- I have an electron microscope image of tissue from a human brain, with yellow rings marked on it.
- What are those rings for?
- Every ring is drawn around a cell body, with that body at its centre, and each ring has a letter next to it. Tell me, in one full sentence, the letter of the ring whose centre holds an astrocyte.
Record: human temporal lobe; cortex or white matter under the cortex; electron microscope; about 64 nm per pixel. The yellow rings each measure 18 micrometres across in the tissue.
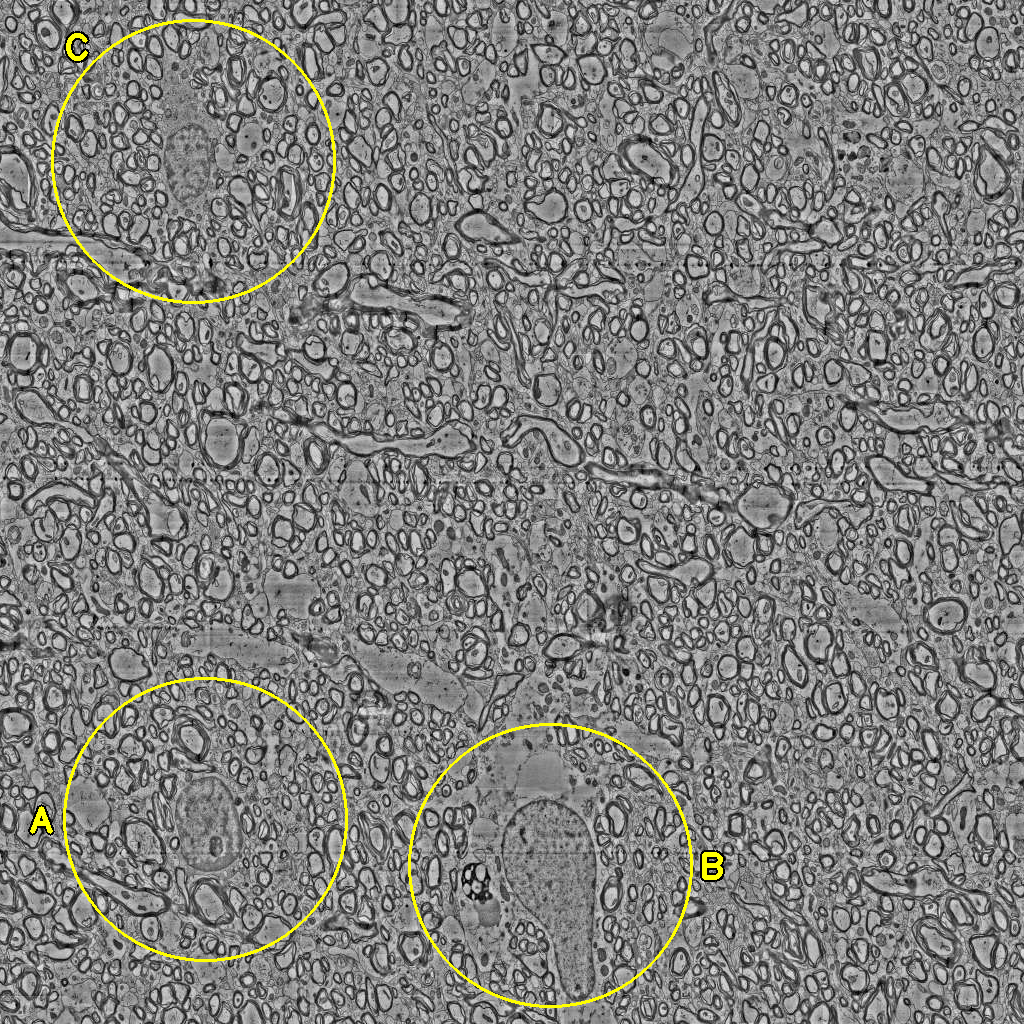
In the picture, the cell asked for sits at the centre of ring B.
